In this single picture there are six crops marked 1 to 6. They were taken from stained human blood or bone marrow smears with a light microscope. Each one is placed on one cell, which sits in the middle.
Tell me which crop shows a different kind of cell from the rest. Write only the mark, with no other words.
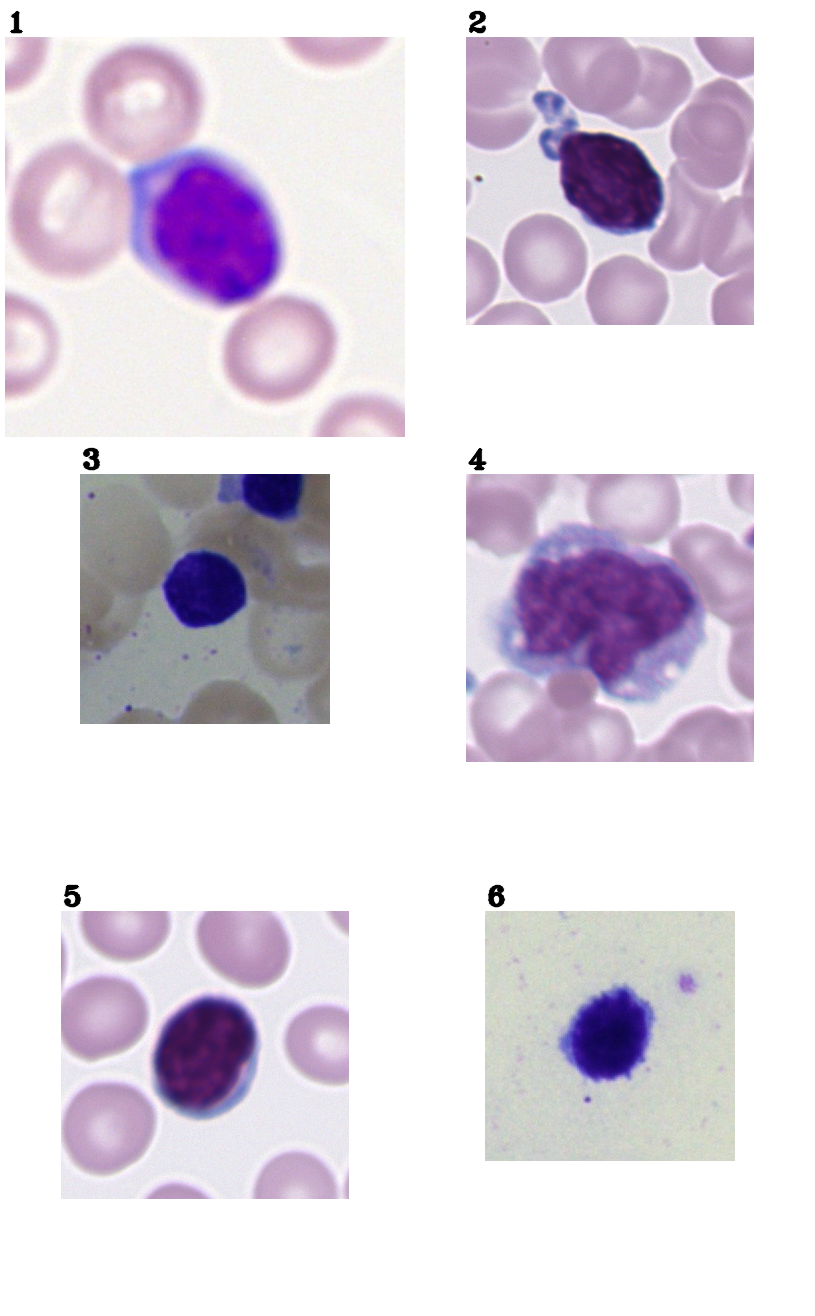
4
